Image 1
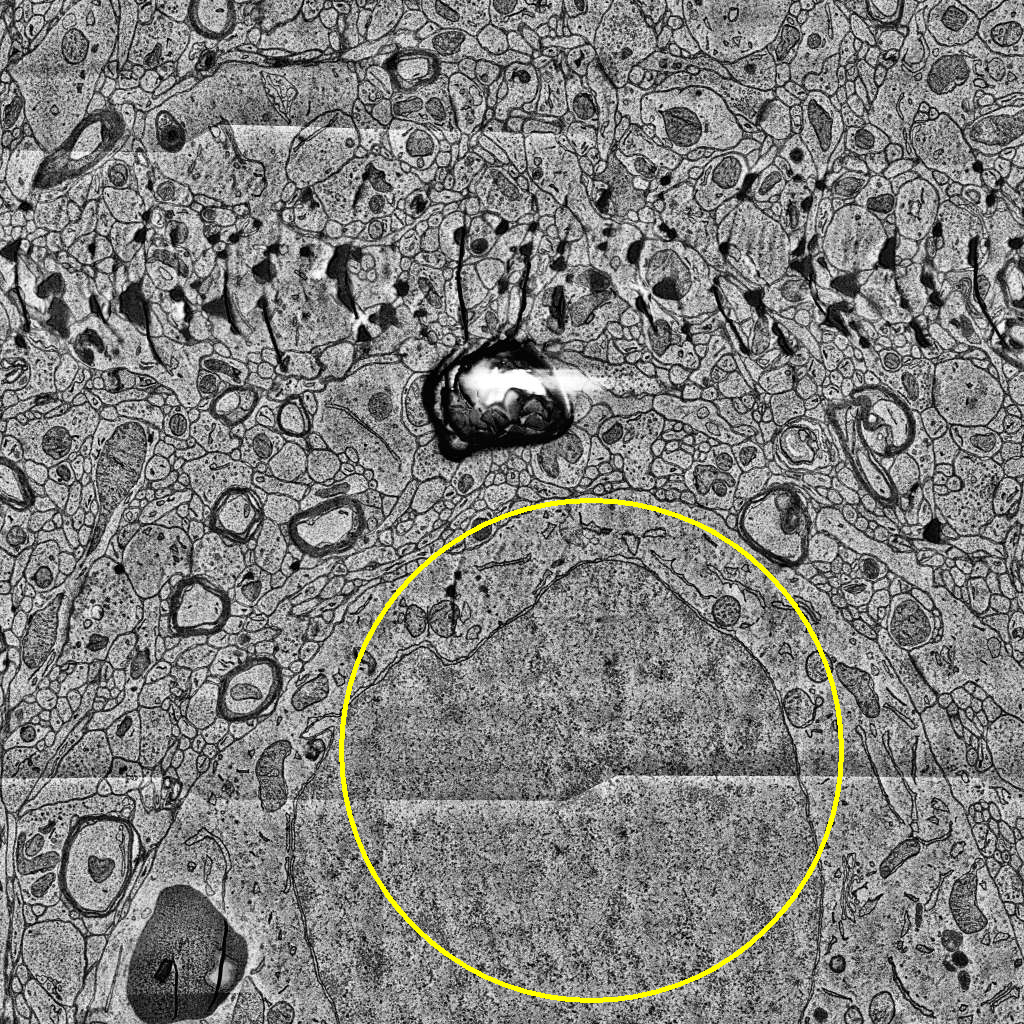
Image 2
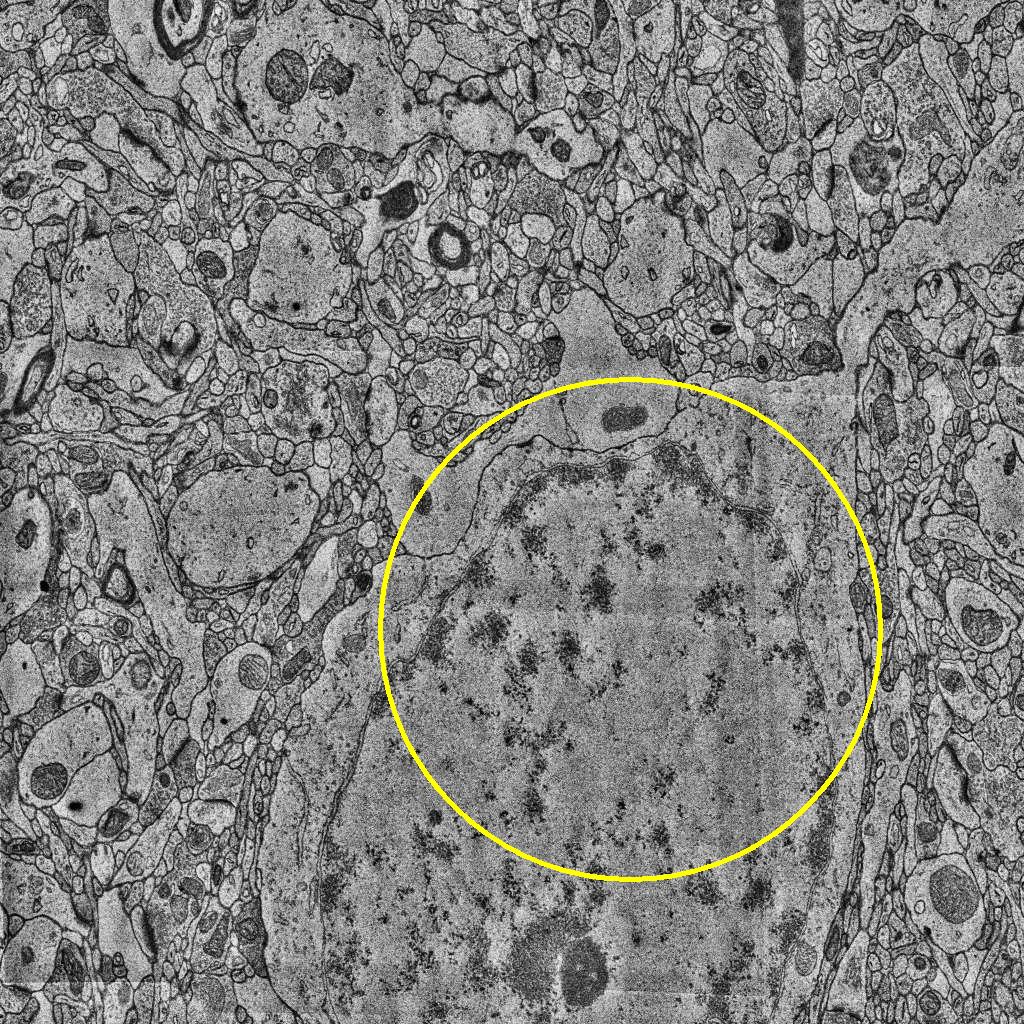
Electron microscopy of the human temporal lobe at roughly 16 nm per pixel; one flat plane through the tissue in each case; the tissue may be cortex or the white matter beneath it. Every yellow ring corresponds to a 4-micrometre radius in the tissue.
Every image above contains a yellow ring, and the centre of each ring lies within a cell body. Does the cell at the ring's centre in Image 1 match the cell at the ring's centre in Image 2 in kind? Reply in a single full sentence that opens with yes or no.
Yes, the cell at the ring's centre in Image 1 is the same kind as that in Image 2.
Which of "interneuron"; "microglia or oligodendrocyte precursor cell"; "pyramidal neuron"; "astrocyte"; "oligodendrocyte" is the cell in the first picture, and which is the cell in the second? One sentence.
Both rings mark an interneuron, one in each picture.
